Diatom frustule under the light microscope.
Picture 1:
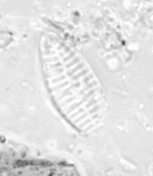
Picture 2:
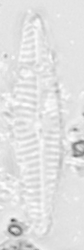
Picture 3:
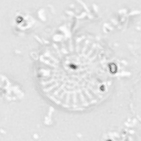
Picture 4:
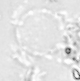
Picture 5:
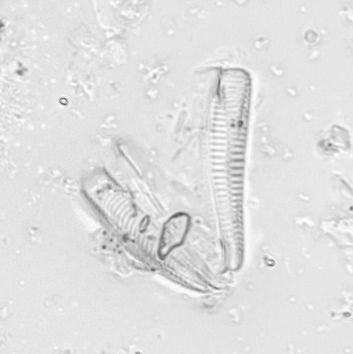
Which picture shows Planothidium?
Picture 1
